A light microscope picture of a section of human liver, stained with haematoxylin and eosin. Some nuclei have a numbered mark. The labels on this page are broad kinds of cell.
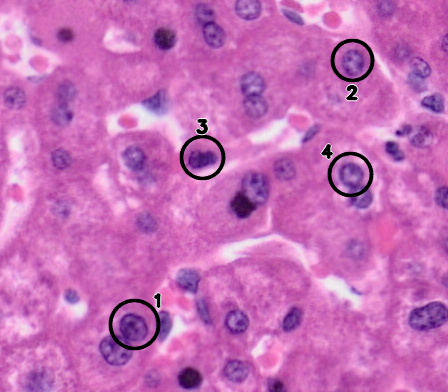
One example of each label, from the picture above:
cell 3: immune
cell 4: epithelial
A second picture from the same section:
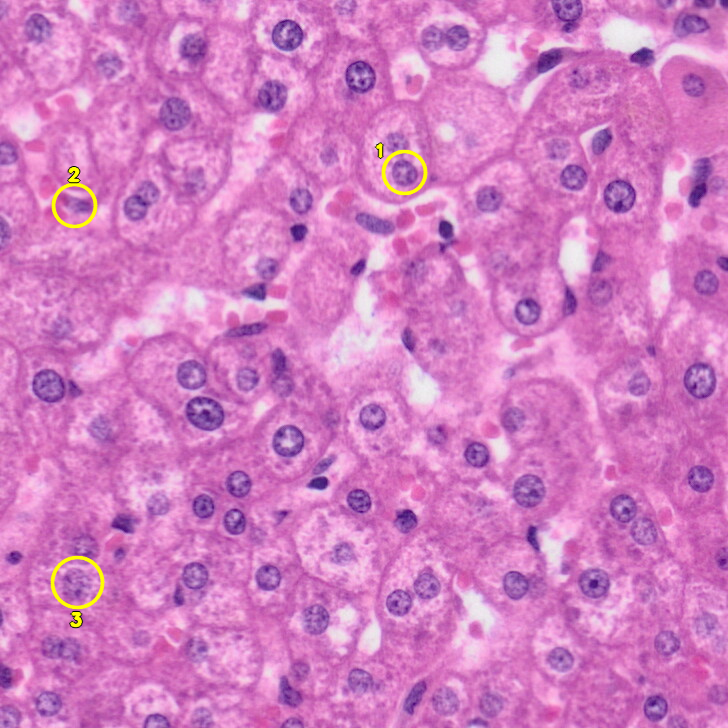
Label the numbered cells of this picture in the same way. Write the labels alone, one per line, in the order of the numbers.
epithelial
immune
epithelial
